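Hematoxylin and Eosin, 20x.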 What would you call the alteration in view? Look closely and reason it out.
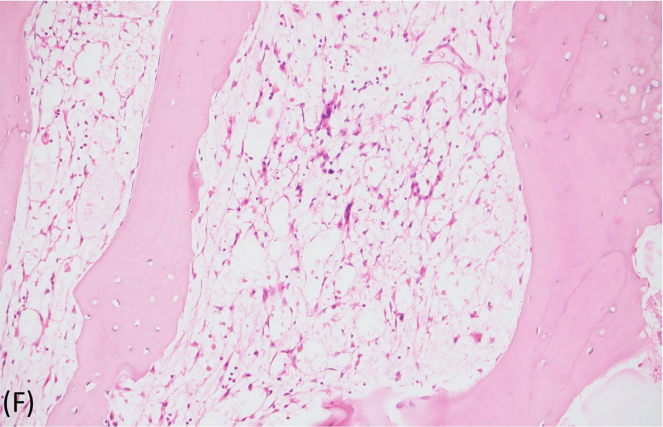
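Pink bony trabeculae bound the marrow spaces. The marrow spaces hold loose pale stroma with only scattered cells. No dense sheets of hematopoietic cells are seen. The answer: markedly hypocellular bone marrow.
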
